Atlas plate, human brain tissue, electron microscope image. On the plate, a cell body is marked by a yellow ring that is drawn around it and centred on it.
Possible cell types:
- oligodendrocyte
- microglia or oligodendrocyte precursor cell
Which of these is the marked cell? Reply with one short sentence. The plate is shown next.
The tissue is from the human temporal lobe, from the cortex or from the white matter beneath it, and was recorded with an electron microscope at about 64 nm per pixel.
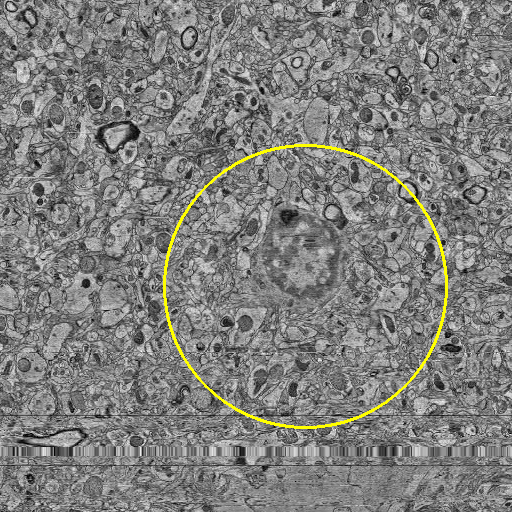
The marked cell is an oligodendrocyte.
